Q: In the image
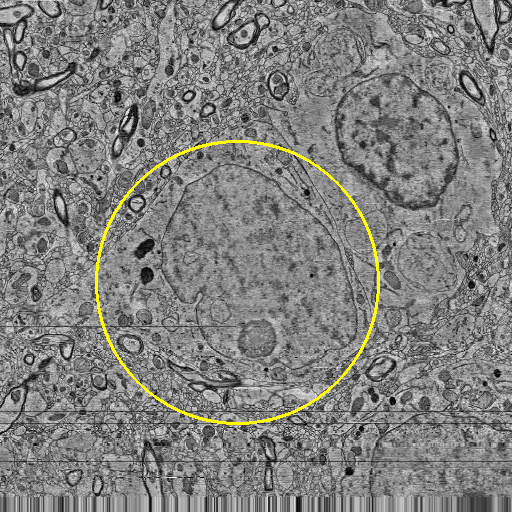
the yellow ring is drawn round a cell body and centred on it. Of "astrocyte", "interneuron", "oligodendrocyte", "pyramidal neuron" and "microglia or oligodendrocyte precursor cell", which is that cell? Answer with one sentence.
The cell centred in the ring is a pyramidal neuron.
